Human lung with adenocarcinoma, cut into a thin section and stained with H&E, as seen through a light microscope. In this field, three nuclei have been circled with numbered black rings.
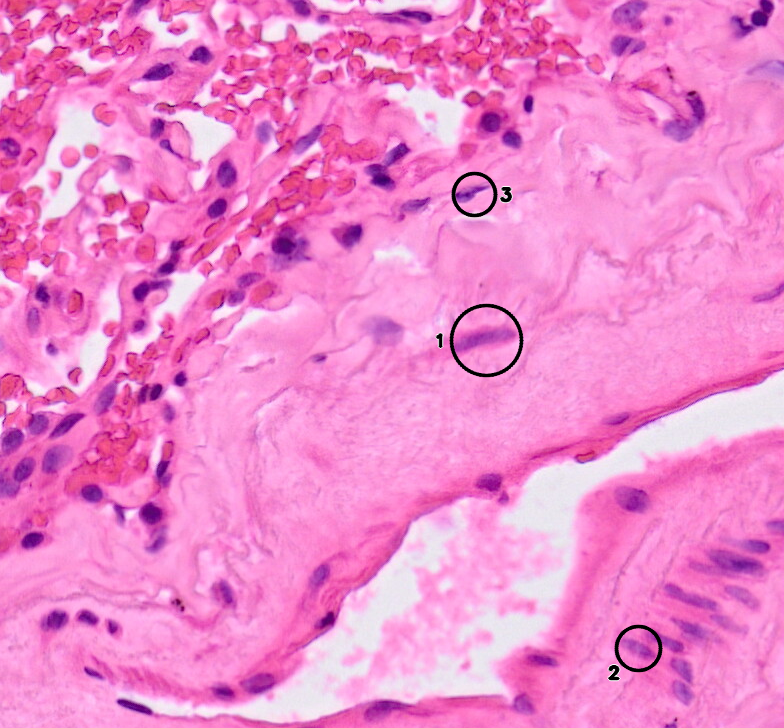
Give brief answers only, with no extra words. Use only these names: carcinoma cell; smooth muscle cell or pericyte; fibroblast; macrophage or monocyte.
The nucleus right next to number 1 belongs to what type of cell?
fibroblast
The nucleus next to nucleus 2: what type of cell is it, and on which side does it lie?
a smooth muscle cell or pericyte, to the right of nucleus 2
